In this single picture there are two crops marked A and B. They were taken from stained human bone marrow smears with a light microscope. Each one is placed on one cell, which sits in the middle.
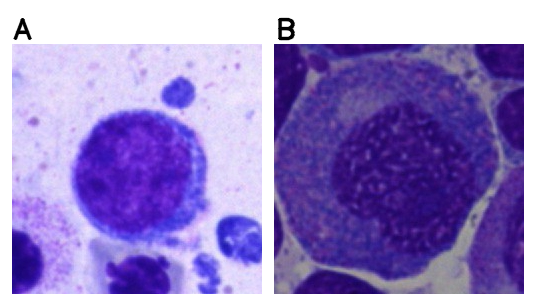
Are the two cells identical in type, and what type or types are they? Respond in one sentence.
No, look again: crop A shows a blast, and crop B shows a promyelocyte.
